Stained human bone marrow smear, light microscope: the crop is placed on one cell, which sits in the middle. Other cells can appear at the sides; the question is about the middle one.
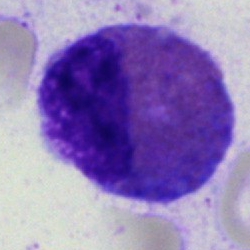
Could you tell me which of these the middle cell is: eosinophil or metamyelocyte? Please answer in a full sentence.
Among the cells in view, the one in the middle is an eosinophil.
